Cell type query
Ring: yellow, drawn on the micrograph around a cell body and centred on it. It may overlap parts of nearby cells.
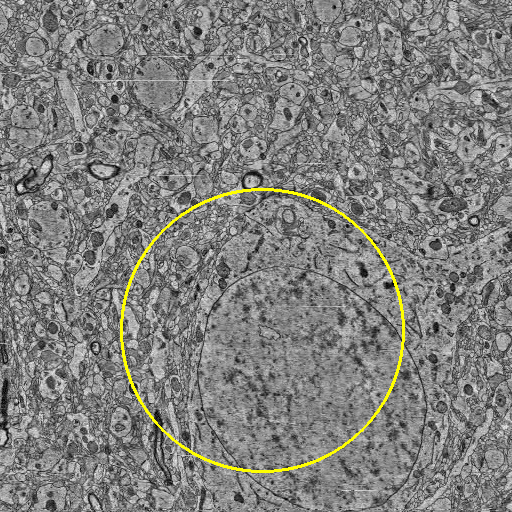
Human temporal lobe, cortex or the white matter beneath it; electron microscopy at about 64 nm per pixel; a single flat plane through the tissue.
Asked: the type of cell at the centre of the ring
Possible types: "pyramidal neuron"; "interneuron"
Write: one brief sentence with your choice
The ring marks a pyramidal neuron.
